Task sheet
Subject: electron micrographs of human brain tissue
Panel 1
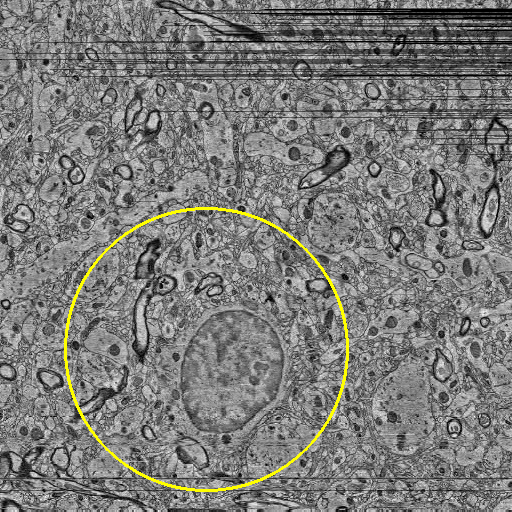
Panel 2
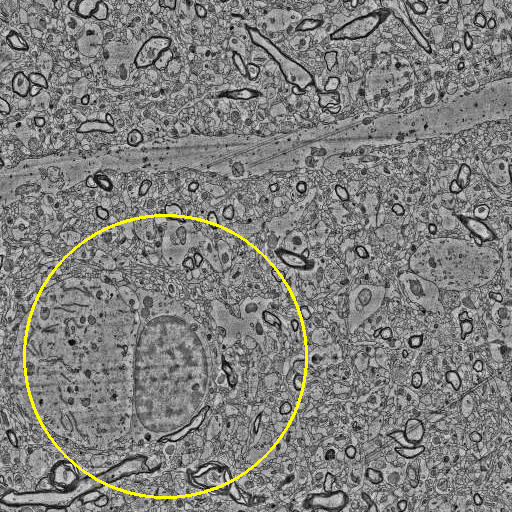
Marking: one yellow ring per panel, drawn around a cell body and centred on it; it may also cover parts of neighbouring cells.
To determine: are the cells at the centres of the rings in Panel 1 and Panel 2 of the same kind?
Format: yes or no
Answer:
yes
